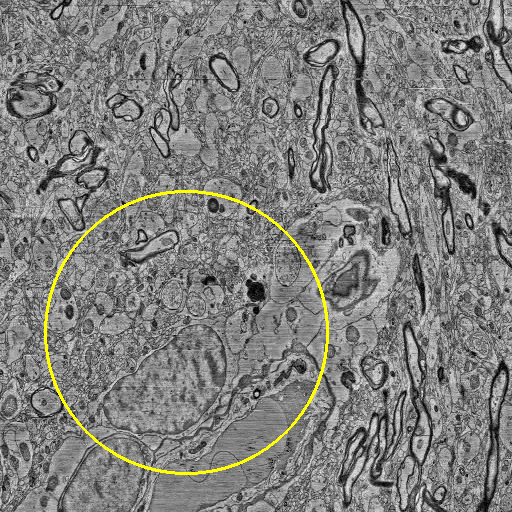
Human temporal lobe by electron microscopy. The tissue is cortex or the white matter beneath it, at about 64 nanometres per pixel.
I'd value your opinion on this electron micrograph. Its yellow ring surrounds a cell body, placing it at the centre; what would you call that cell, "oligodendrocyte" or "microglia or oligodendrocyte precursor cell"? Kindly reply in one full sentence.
It is a microglial cell or oligodendrocyte precursor cell that sits centred within the yellow ring in this micrograph.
